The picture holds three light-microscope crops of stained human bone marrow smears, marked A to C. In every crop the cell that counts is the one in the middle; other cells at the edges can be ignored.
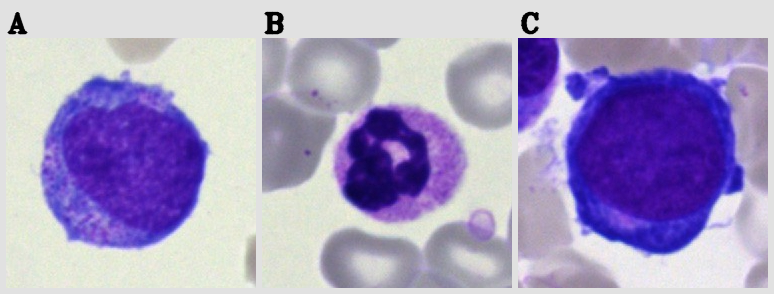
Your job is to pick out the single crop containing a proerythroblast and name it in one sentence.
Crop C is where a proerythroblast is to be found.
